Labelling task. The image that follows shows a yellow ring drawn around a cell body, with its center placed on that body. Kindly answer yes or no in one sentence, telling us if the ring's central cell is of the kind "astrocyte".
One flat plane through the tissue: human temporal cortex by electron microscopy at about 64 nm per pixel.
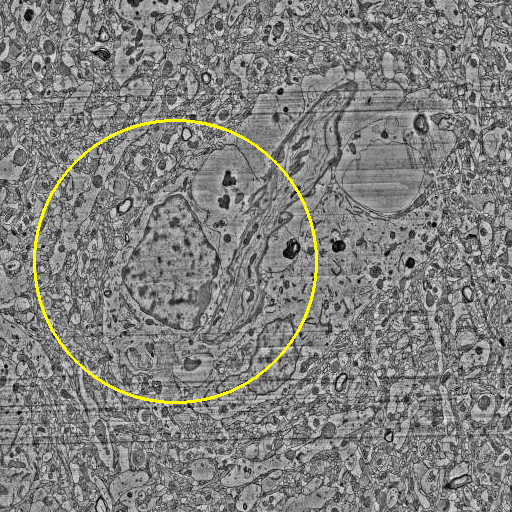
No, in this image the cell at the ring's center is of a different kind.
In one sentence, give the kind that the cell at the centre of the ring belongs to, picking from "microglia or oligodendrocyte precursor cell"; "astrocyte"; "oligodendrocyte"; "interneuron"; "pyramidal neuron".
In this picture, the ring is centred on a microglial cell or oligodendrocyte precursor cell.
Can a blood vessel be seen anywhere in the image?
Yes, the image shows a blood vessel.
